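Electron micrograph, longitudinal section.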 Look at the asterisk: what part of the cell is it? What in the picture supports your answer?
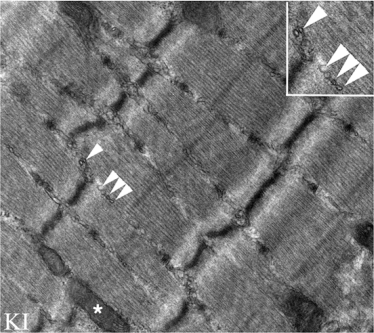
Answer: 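Mitochondria. A dark rounded organelle with internal folds lies between myofibrils.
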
